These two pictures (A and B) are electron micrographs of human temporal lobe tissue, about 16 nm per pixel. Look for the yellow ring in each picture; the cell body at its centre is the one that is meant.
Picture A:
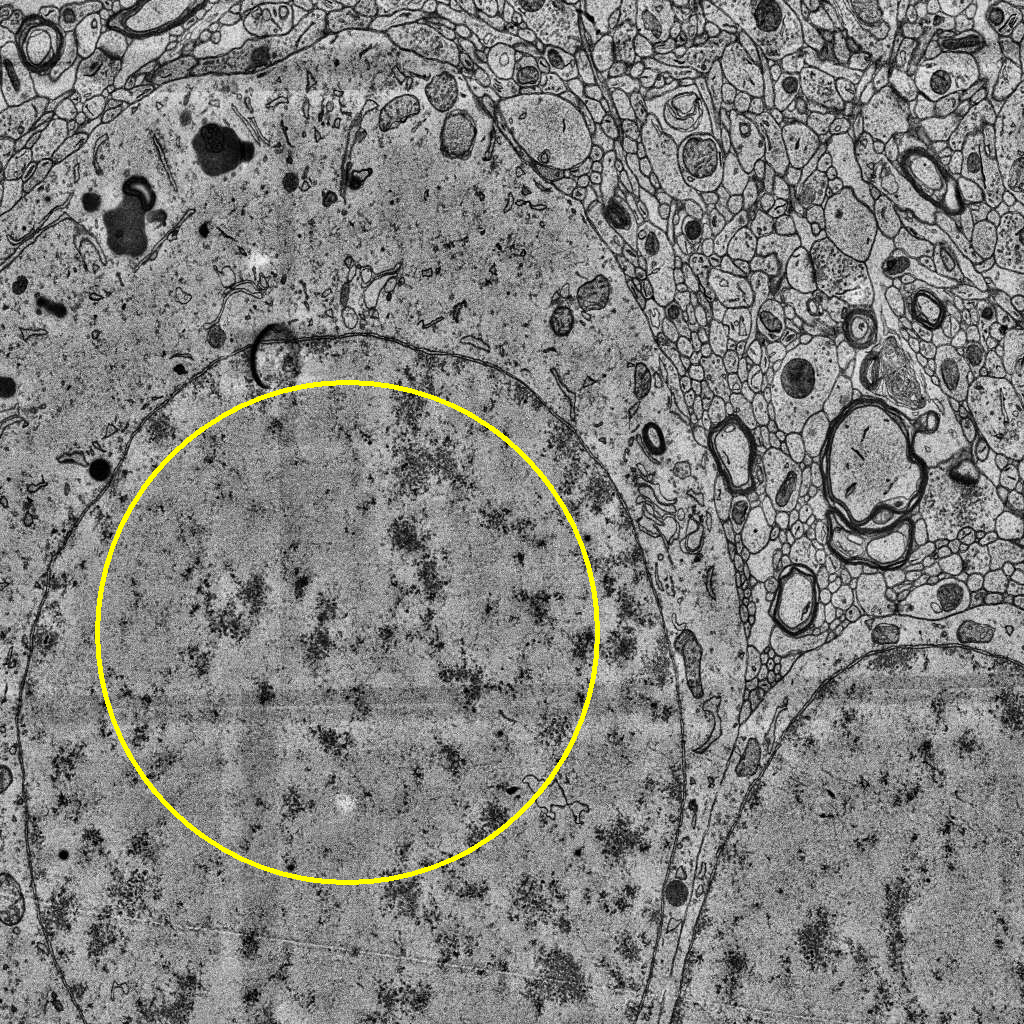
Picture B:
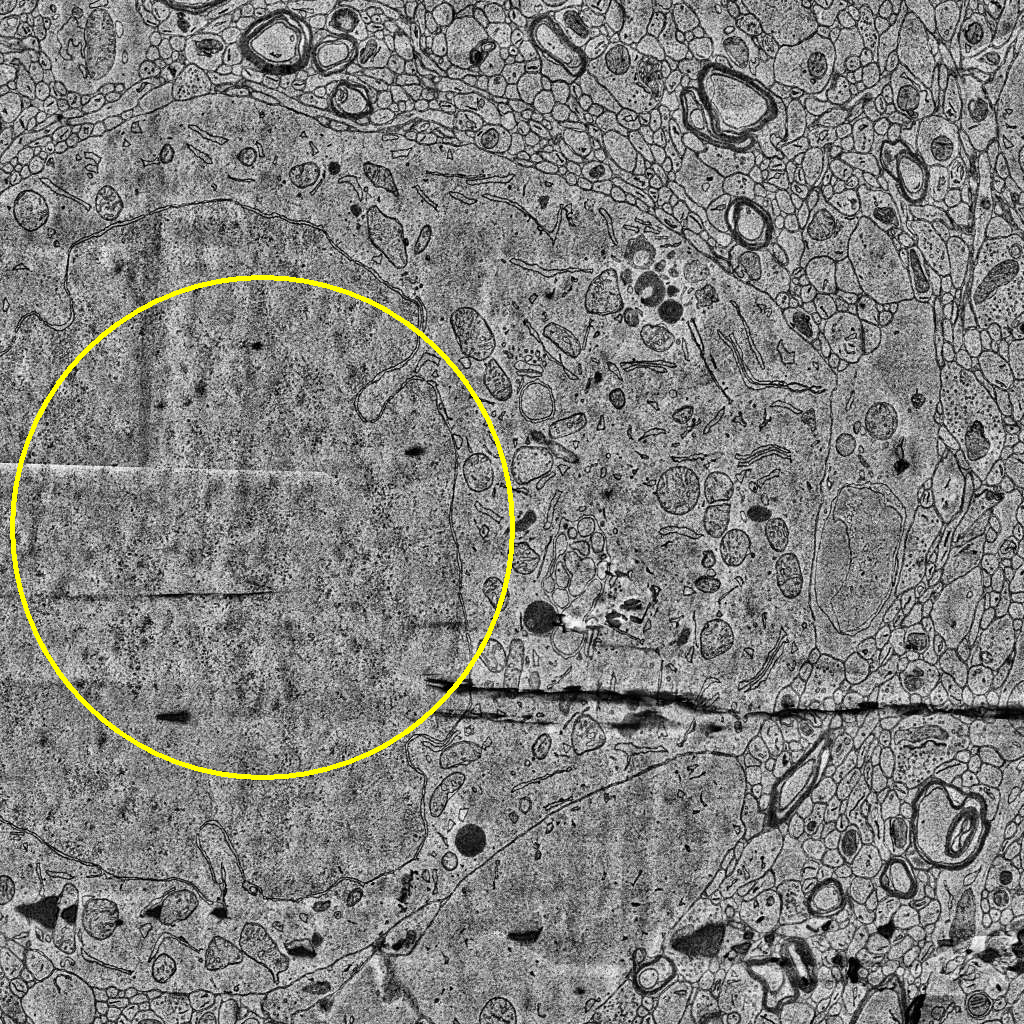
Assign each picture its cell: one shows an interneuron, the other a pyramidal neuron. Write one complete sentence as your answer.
Picture A shows a pyramidal neuron and picture B shows an interneuron.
